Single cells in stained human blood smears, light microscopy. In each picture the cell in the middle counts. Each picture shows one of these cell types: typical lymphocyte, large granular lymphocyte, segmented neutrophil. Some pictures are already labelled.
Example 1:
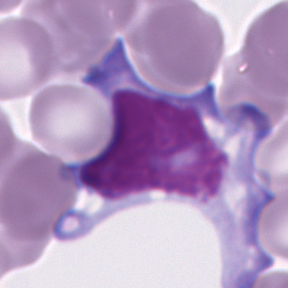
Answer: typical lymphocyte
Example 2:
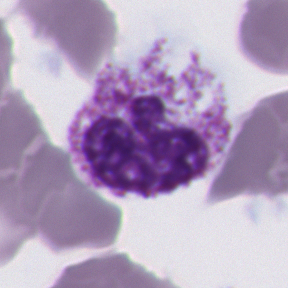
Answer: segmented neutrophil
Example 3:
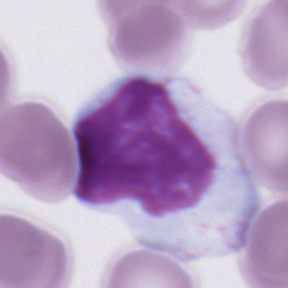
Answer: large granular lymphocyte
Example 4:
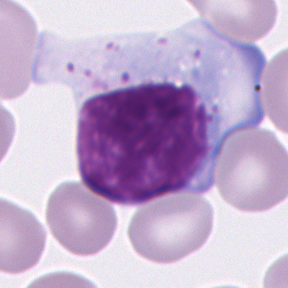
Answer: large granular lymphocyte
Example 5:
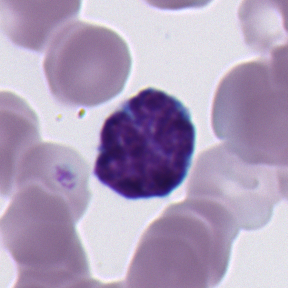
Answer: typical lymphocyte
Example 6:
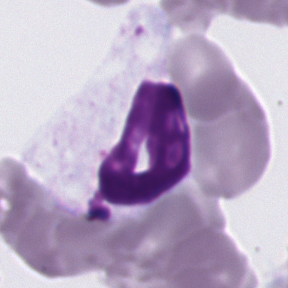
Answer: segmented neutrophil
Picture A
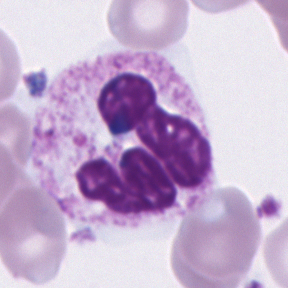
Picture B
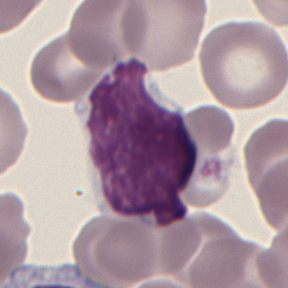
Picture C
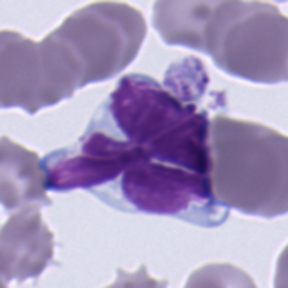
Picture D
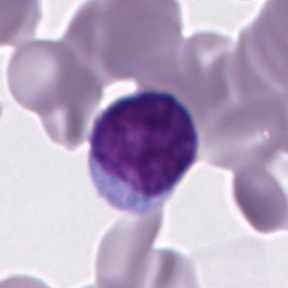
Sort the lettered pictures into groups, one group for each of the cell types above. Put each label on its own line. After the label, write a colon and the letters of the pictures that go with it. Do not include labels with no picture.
typical lymphocyte: B, D
large granular lymphocyte: C
segmented neutrophil: A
